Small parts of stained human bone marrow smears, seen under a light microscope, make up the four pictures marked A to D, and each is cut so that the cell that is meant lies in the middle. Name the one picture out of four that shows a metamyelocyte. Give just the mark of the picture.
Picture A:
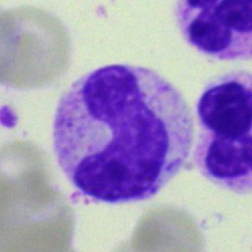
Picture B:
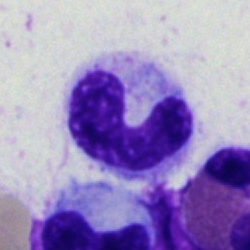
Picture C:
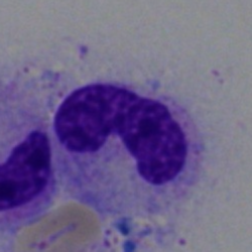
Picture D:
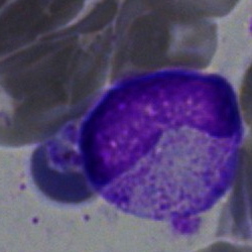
D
